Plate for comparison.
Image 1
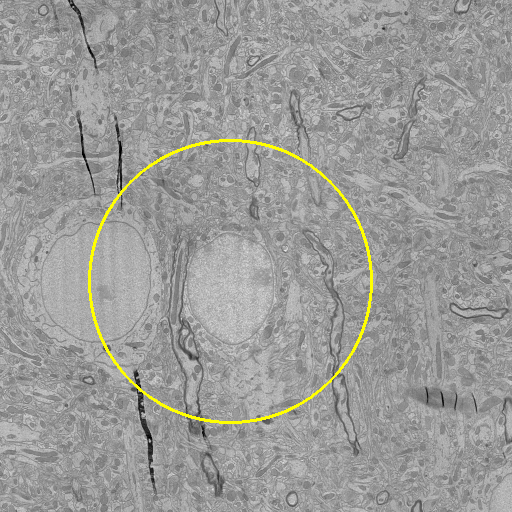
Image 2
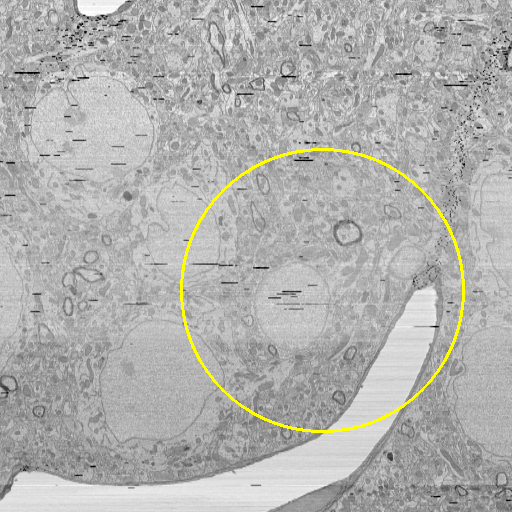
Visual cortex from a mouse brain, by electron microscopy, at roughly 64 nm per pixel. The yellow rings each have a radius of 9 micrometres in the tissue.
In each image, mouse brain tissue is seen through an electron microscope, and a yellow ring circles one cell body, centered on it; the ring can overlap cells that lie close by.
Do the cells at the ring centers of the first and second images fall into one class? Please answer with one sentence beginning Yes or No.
Yes, the first and second images show a single class of cell at the ring centers.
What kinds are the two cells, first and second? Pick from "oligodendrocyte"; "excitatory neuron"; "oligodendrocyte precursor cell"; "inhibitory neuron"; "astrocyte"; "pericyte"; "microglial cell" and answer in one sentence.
Each of the two rings surrounds an astrocyte.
